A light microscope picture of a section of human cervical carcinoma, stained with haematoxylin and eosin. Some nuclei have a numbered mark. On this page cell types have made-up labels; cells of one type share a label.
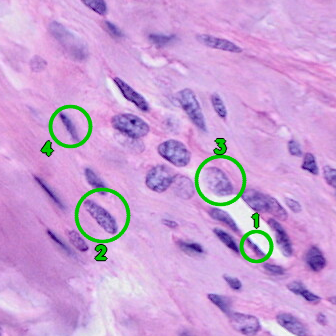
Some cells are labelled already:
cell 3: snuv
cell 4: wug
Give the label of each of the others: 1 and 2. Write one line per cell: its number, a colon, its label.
1: snuv
2: wug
